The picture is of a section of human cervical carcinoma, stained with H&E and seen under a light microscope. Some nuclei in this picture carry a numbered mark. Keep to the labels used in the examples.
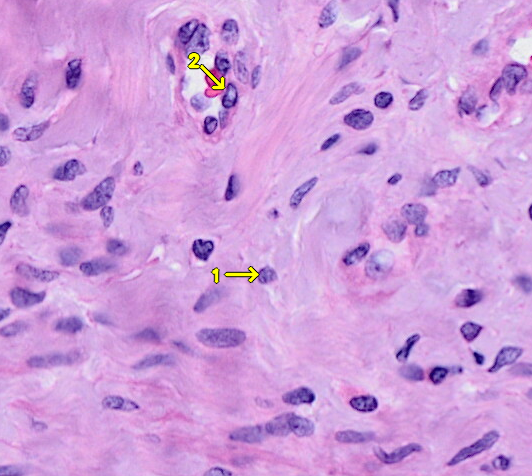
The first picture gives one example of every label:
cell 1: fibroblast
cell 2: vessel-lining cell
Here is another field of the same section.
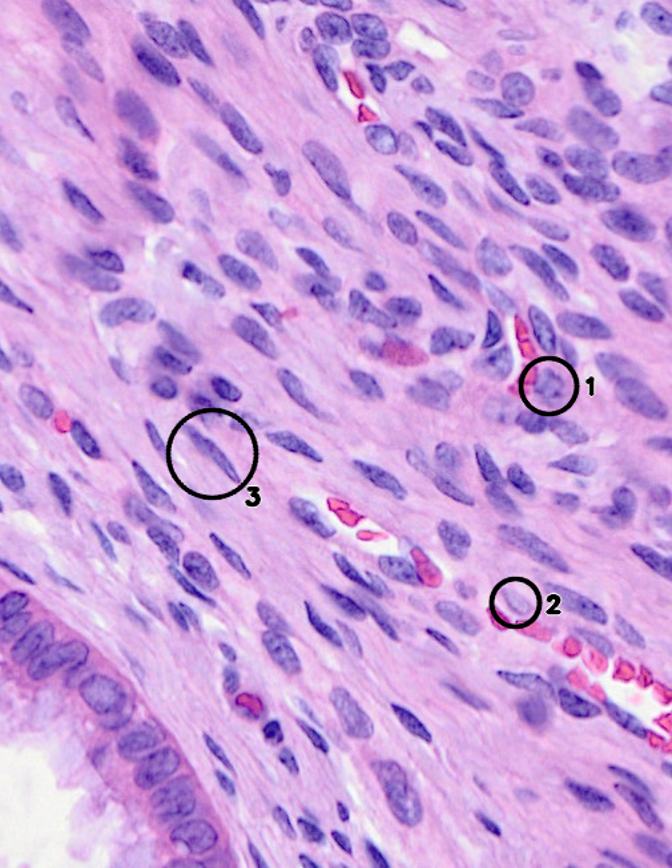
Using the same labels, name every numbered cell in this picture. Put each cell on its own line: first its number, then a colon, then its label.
1: vessel-lining cell
2: vessel-lining cell
3: fibroblast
